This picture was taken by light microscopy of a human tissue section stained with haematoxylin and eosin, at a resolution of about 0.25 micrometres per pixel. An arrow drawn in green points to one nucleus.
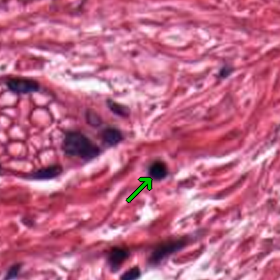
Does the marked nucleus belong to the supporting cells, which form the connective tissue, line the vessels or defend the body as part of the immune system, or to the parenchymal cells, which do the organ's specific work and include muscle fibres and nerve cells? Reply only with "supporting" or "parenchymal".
supporting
